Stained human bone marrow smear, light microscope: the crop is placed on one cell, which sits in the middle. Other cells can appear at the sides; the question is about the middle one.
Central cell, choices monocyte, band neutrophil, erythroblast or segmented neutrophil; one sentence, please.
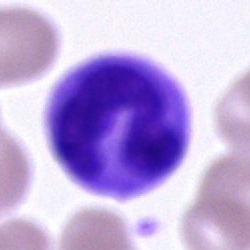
Located at the centre of the crop is a monocyte.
